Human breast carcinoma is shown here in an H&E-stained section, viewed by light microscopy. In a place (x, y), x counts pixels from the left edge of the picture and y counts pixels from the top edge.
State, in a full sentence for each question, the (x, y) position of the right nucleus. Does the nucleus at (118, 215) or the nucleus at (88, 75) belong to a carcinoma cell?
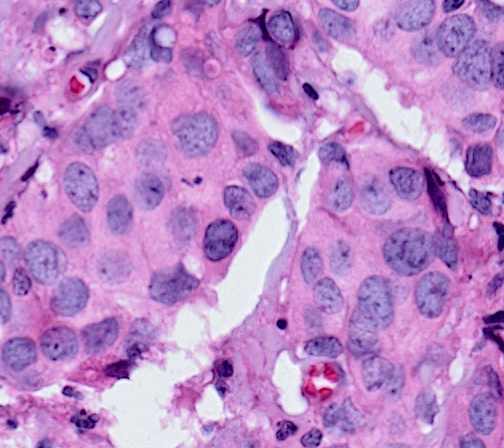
Of these two nuclei, only the one at (118, 215) belongs to a carcinoma cell.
